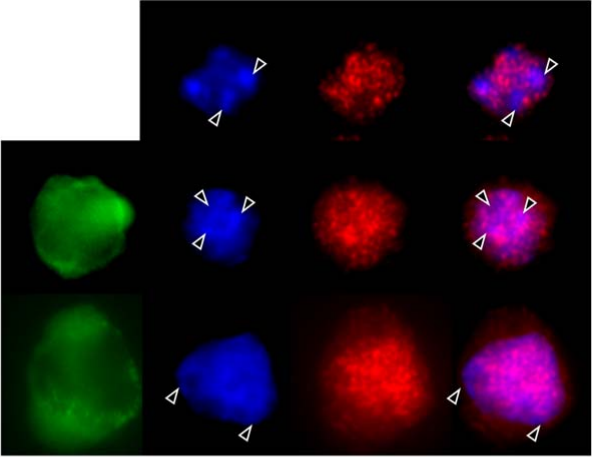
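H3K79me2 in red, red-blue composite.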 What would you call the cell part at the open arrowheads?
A: chromocenters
